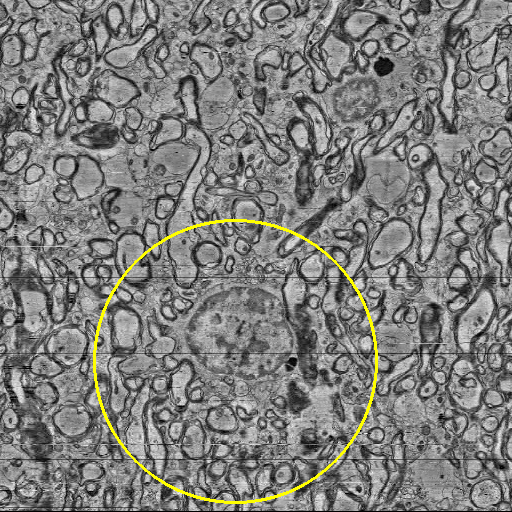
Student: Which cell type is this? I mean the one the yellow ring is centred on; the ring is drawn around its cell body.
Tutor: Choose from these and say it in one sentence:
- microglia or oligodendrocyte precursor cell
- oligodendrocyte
The cell the ring is centred on is an oligodendrocyte.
